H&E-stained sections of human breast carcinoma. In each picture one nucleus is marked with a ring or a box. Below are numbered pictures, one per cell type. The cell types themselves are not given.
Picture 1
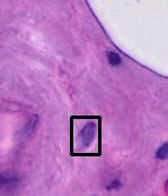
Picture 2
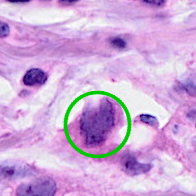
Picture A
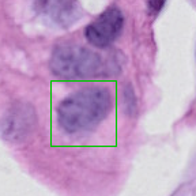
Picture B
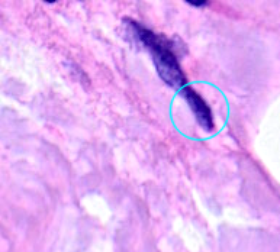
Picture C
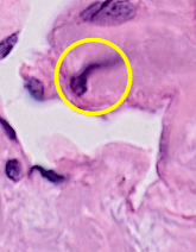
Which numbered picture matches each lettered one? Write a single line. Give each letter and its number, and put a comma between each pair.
A 2, B 1, C 1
